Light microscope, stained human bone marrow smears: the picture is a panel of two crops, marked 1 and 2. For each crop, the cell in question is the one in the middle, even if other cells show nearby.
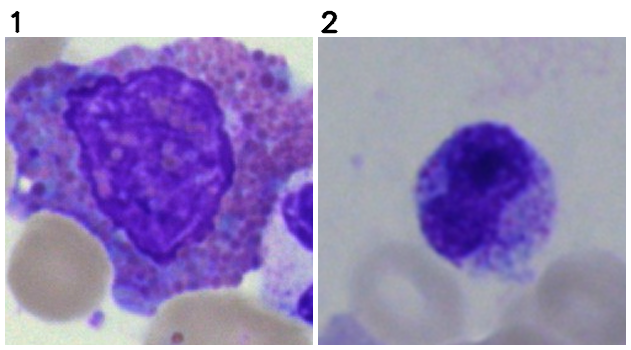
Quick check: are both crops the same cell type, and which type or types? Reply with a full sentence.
No, cell 1 is an eosinophil, and cell 2 is a band neutrophil.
